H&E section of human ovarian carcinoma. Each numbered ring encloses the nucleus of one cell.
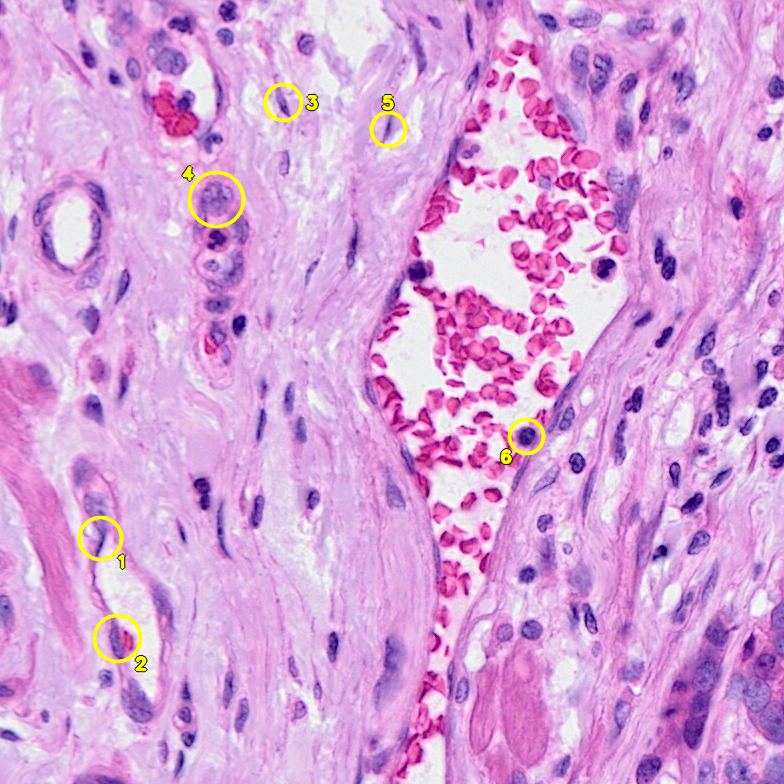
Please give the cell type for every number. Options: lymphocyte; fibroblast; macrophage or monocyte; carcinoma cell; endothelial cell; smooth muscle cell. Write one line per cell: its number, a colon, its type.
1: endothelial cell
2: endothelial cell
3: fibroblast
4: endothelial cell
5: fibroblast
6: lymphocyte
